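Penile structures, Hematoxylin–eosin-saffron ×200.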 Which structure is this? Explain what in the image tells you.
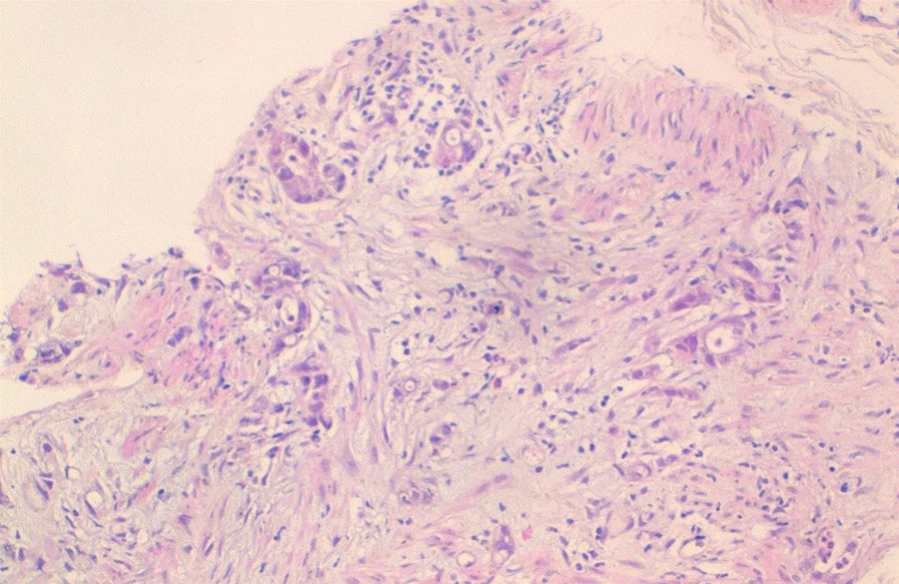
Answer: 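Small clusters of cells form rings around small round lumina. These gland-like clusters lie scattered within pale pink fibrous stroma. The answer: Tumoral glands.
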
